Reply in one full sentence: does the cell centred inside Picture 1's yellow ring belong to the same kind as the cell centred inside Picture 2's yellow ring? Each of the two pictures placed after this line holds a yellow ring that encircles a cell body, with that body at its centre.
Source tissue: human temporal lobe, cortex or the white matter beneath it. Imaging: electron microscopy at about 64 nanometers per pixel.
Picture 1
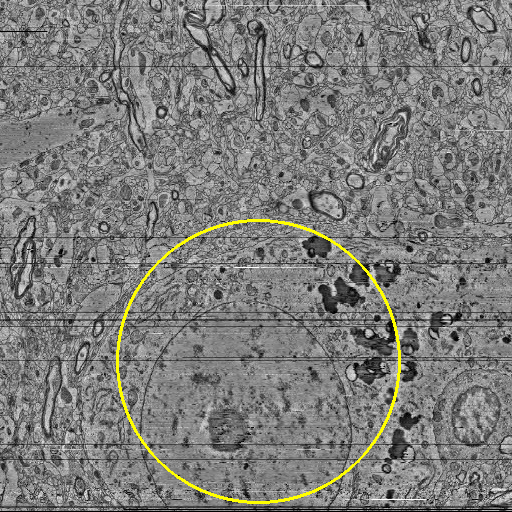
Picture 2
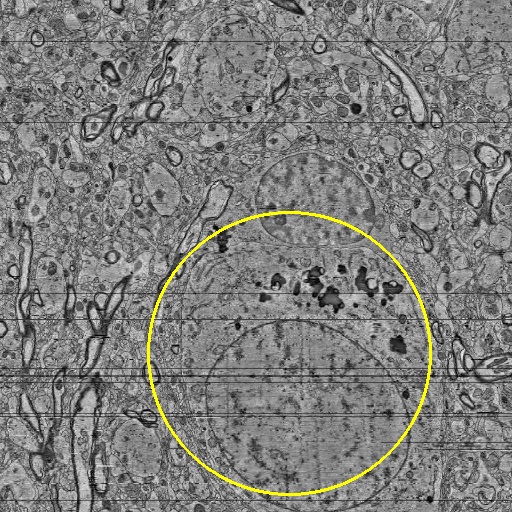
Yes, the ring-centred cells in Picture 1 and Picture 2 are of one and the same kind.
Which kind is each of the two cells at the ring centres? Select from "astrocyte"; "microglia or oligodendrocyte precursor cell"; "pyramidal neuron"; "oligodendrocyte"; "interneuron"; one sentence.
Both cells are the same kind, each one being a pyramidal neuron.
